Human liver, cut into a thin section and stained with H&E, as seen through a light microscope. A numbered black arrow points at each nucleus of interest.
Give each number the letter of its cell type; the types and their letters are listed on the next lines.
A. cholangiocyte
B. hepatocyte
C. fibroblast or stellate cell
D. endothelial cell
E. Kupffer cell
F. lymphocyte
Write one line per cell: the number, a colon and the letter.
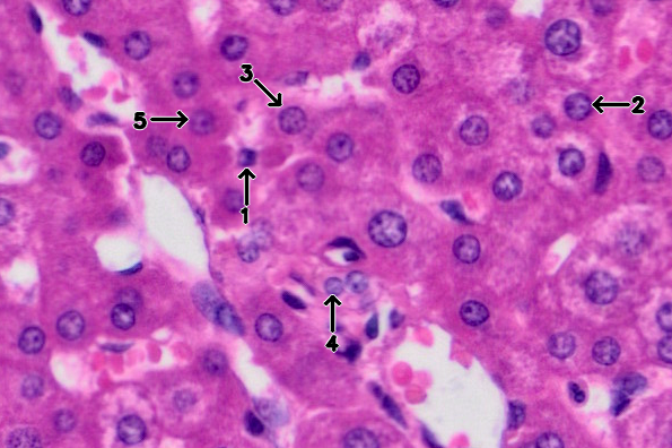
1: C
2: B
3: B
4: A
5: B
